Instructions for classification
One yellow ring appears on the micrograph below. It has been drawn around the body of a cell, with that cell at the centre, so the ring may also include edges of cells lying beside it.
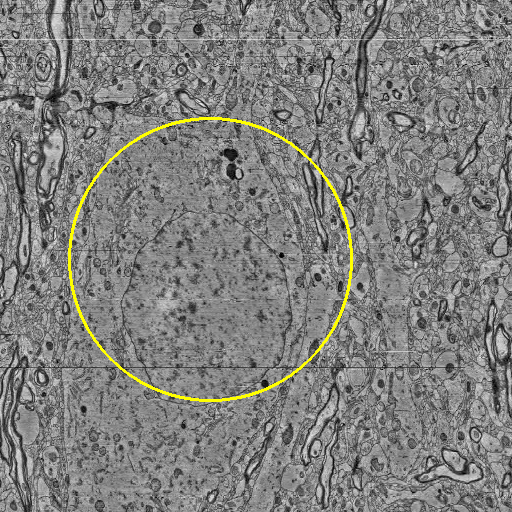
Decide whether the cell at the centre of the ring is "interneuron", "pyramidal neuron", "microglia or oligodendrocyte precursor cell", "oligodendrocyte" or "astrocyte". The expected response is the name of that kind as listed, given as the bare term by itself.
pyramidal neuron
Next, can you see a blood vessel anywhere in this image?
No, there is no blood vessel in the image.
